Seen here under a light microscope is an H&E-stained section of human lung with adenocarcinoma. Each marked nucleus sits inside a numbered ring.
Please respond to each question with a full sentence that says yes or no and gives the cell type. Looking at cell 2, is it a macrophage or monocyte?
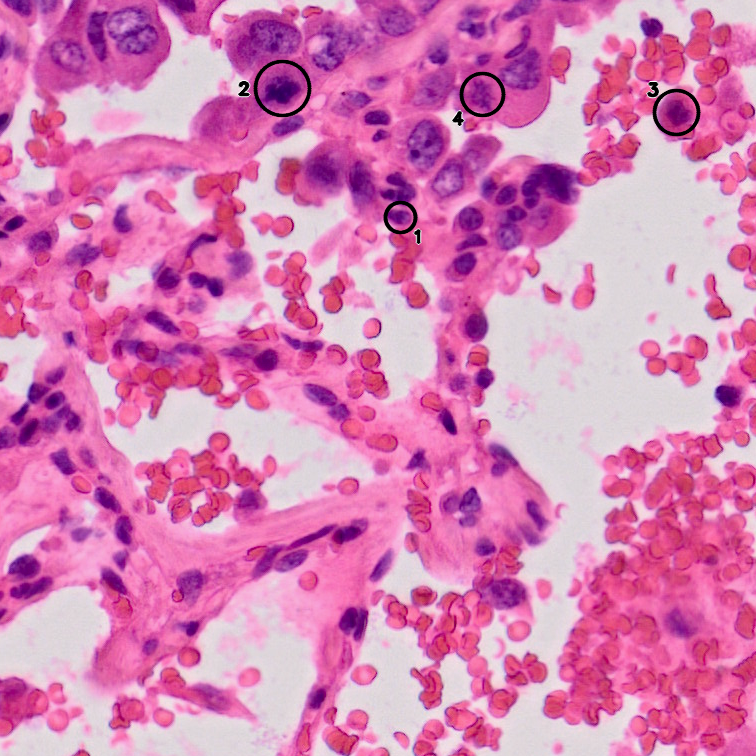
No, cell 2 does not represent a macrophage or monocyte; it represents a carcinoma cell.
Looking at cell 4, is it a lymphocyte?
No, the correct answer for cell 4 is a carcinoma cell, not a lymphocyte.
